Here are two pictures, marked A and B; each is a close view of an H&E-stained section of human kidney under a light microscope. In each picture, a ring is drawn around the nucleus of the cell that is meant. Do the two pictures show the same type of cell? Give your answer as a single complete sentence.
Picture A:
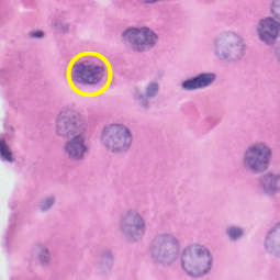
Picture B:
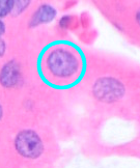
Yes, the two pictures both show proximal tubule cells.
